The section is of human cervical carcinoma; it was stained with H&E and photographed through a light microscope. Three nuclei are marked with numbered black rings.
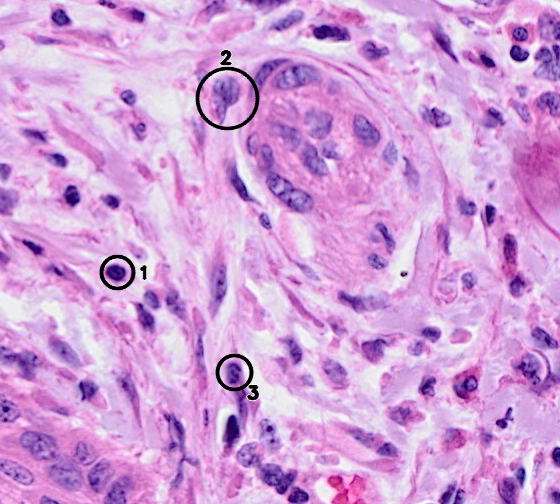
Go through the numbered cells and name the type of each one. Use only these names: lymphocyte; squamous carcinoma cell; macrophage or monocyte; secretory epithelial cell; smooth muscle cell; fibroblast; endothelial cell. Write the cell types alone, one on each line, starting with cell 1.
lymphocyte
macrophage or monocyte
lymphocyte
